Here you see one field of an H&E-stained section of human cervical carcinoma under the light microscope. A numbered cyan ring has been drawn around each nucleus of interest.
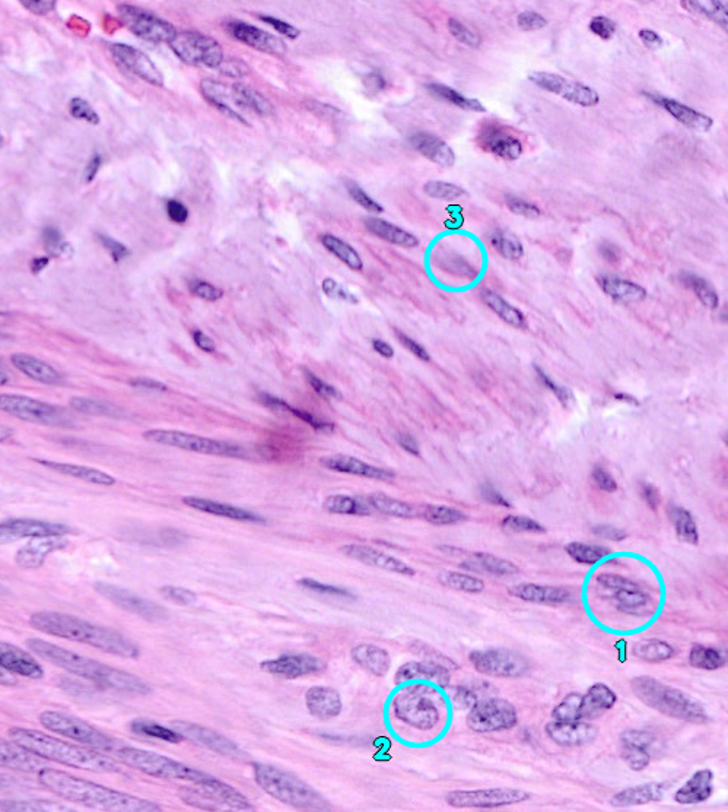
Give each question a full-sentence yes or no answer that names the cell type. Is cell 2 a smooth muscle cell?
No, an endothelial cell, not a smooth muscle cell, is the cell with number 2.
